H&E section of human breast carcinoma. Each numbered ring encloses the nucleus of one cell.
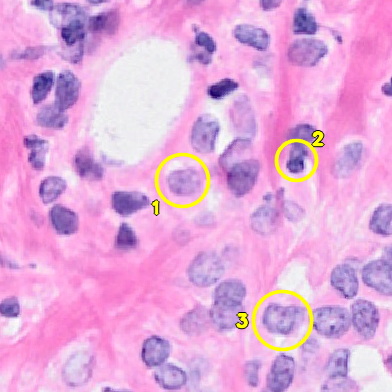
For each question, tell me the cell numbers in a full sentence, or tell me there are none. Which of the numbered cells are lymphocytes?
Exactly one of the numbered cells is a lymphocyte, namely cell 2.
